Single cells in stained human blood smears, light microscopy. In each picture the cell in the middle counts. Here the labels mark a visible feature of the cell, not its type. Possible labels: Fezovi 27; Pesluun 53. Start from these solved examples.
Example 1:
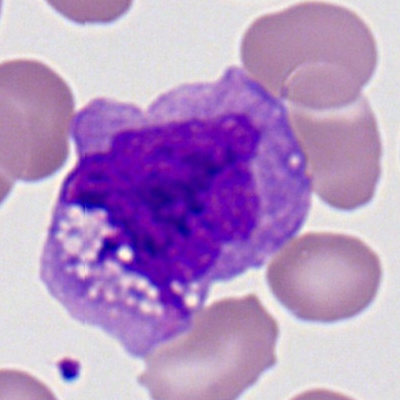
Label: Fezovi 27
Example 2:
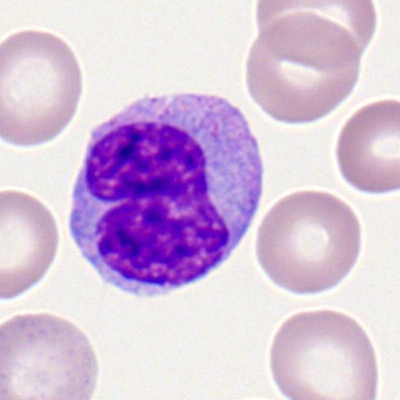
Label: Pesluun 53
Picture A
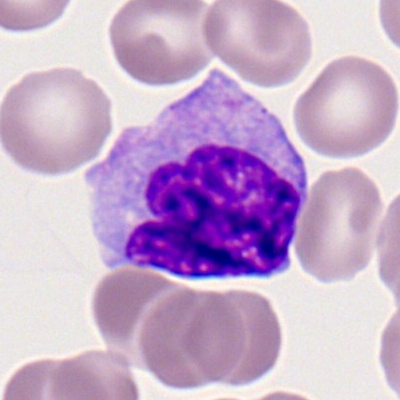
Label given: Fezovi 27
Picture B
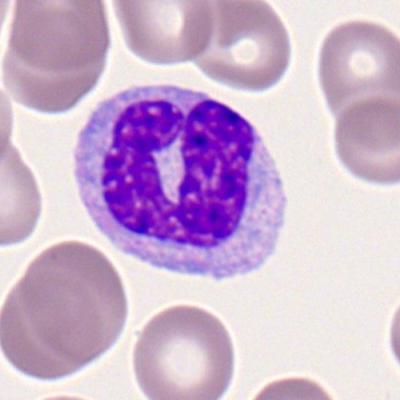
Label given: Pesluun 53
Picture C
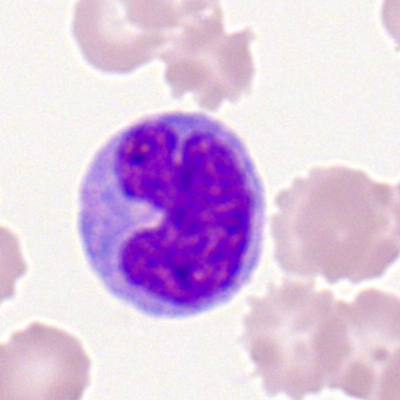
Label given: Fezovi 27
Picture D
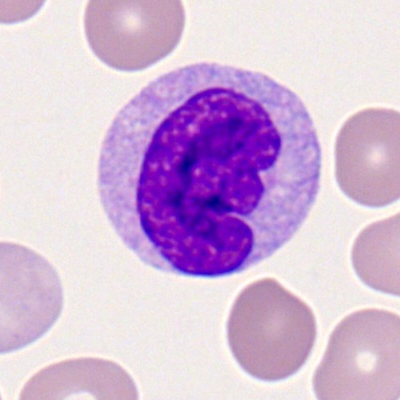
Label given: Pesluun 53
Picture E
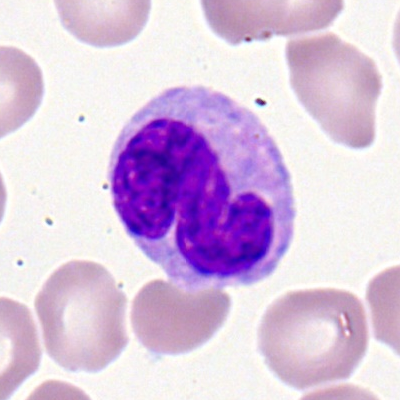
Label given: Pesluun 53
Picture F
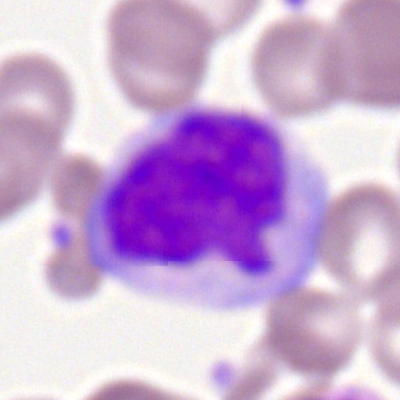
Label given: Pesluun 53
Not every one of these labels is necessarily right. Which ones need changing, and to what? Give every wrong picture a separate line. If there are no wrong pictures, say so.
Wrong: A (Fezovi 27); correct: Pesluun 53
Wrong: C (Fezovi 27); correct: Pesluun 53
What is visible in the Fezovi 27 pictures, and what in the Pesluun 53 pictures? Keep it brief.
Fezovi 27: vacuoles present; Pesluun 53: no vacuoles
